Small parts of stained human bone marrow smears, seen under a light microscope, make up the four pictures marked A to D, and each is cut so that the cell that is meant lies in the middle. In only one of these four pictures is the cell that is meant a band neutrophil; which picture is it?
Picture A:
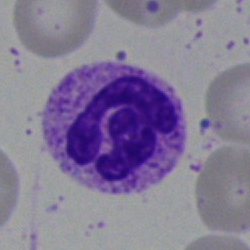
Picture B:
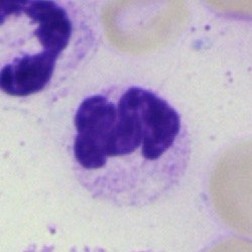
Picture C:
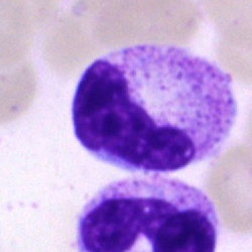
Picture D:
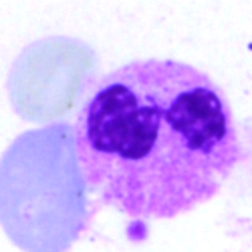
C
